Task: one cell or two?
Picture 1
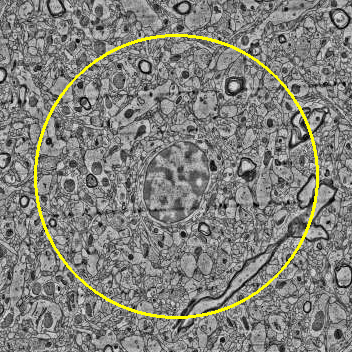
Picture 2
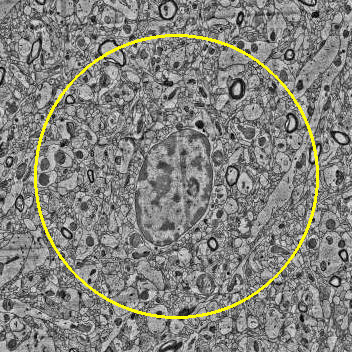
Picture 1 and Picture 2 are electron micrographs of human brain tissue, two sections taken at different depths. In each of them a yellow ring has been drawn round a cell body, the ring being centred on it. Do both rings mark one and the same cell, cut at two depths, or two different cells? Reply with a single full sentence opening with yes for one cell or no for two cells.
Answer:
Yes, the second ring marks the same cell as the first.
